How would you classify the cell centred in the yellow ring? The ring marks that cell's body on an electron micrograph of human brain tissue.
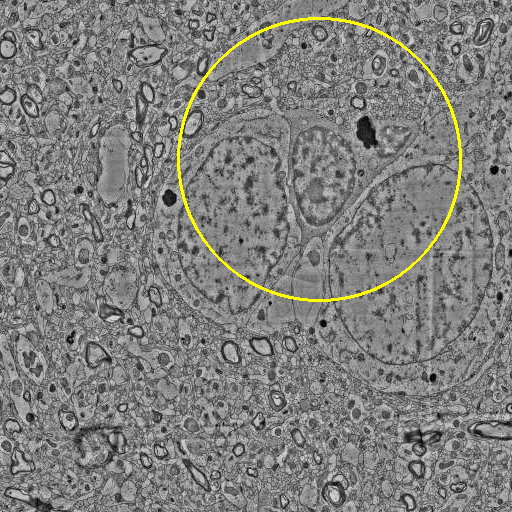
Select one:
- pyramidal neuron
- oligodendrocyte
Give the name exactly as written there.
oligodendrocyte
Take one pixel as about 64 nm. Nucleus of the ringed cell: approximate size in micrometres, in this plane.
In this plane, the nucleus is roughly 6 by 4 micrometres.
